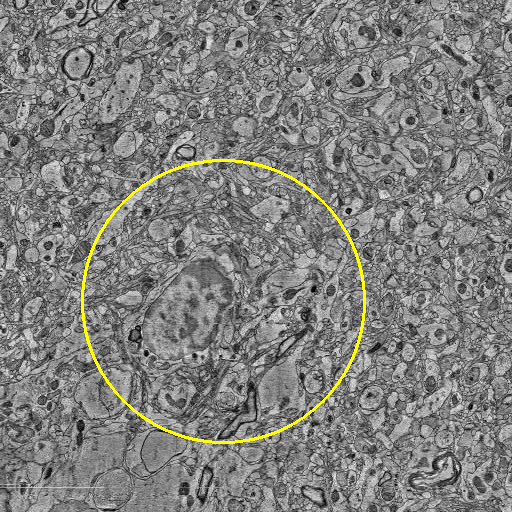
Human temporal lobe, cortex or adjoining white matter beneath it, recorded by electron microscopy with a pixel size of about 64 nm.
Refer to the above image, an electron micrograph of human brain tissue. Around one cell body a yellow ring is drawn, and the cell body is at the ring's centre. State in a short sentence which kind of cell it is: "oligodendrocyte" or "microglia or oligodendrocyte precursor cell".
The centre of the ring falls on a microglial cell or oligodendrocyte precursor cell.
